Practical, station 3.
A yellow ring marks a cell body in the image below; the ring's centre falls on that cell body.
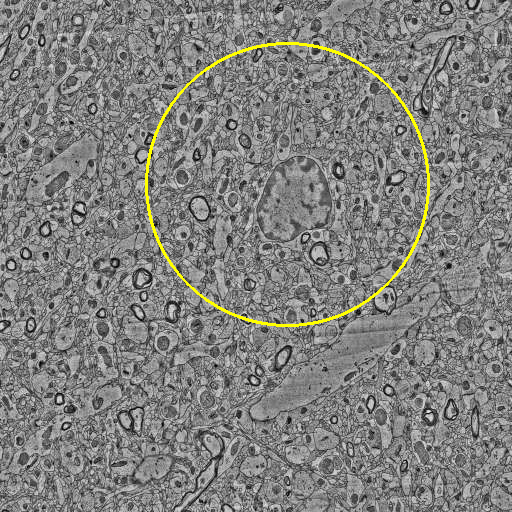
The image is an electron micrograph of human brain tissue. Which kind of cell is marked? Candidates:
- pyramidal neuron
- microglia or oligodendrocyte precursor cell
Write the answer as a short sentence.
The marked cell body is that of a microglial cell or oligodendrocyte precursor cell.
